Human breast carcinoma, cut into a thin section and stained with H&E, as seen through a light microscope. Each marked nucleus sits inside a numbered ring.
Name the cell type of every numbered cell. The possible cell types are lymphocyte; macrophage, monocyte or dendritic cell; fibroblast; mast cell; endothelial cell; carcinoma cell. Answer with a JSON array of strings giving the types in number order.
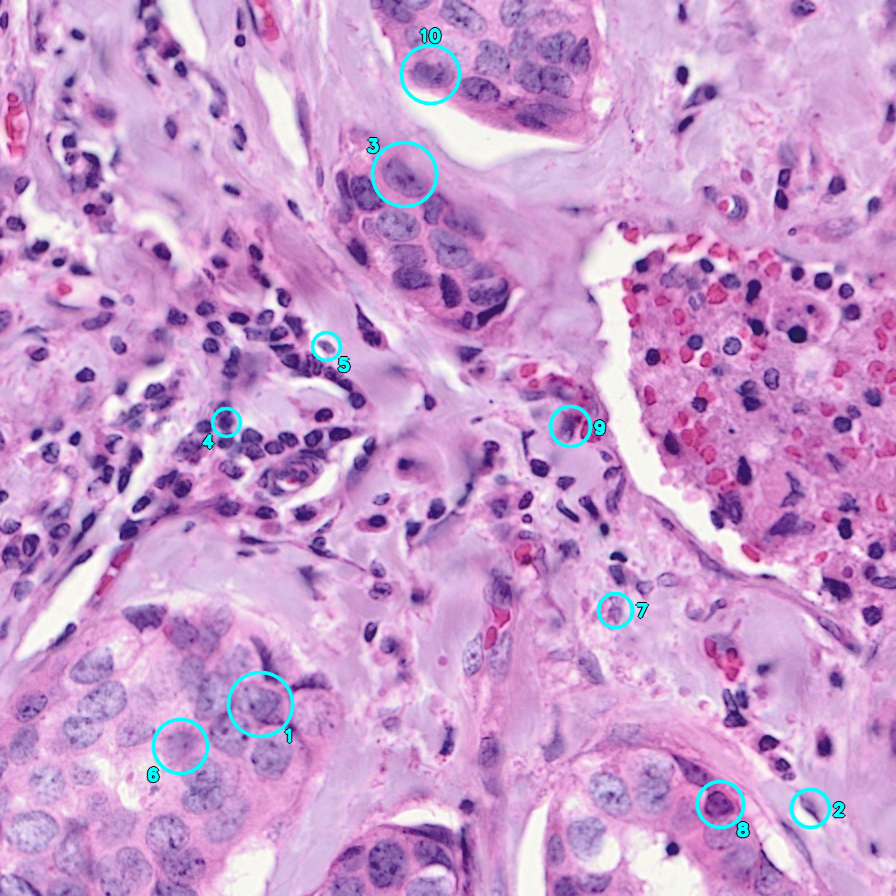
["carcinoma cell", "fibroblast", "carcinoma cell", "lymphocyte", "lymphocyte", "carcinoma cell", "macrophage, monocyte or dendritic cell", "carcinoma cell", "endothelial cell", "carcinoma cell"]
